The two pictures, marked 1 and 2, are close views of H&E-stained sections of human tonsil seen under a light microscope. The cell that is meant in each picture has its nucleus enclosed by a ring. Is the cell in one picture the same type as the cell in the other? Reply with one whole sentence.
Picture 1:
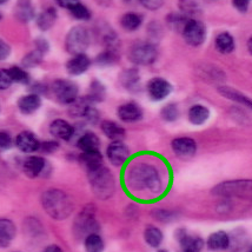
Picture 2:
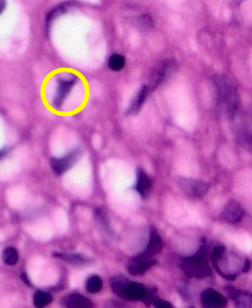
No, they differ: the cell is an endothelial cell in picture 1 and a squamous epithelial cell in picture 2.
